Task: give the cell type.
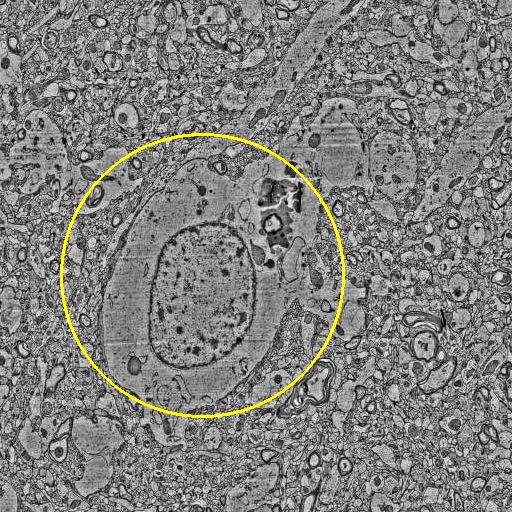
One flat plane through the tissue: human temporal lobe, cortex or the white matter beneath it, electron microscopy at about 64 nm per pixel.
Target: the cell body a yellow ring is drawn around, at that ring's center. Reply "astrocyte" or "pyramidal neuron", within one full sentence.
In this picture, the cell whose body lies at the ring's center is an astrocyte.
